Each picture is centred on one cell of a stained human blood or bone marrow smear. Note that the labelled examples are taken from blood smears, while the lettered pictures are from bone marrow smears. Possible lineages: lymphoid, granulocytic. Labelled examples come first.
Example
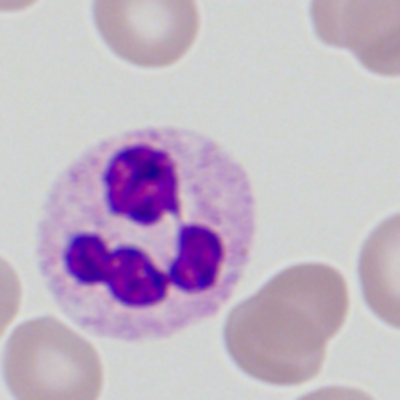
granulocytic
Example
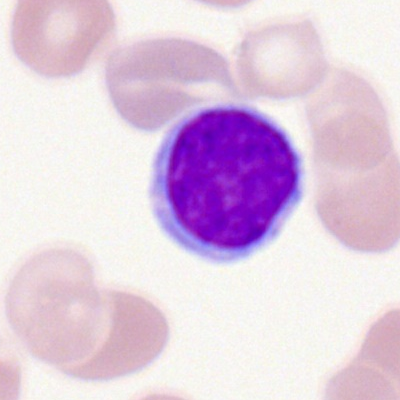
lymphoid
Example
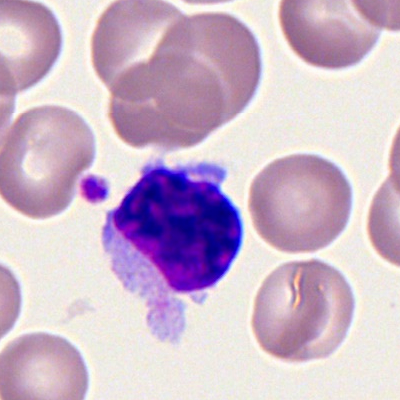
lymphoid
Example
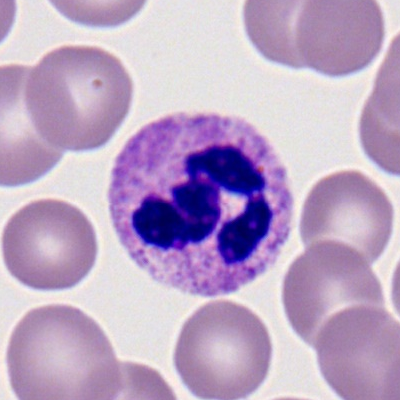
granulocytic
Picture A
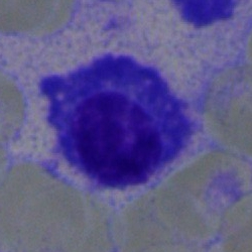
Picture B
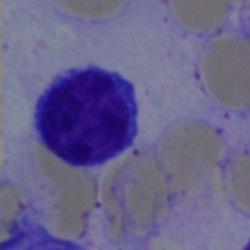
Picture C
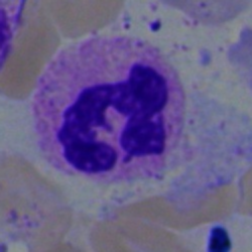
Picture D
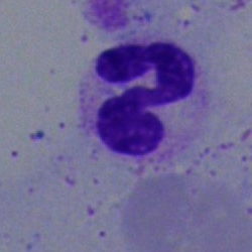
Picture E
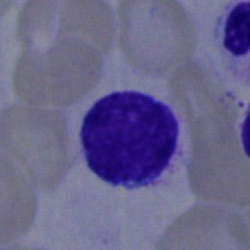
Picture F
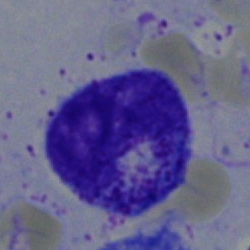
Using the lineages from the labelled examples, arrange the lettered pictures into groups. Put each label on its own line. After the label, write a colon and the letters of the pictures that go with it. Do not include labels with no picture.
lymphoid: A, B, E
granulocytic: C, D, F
